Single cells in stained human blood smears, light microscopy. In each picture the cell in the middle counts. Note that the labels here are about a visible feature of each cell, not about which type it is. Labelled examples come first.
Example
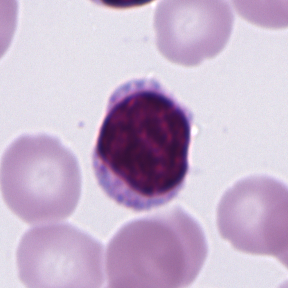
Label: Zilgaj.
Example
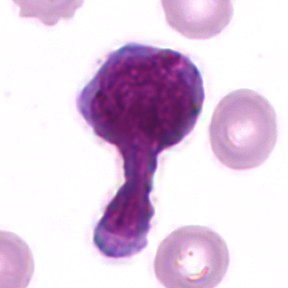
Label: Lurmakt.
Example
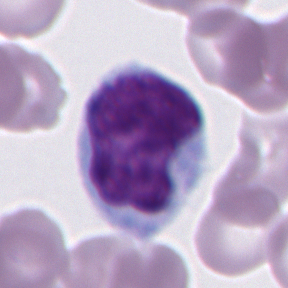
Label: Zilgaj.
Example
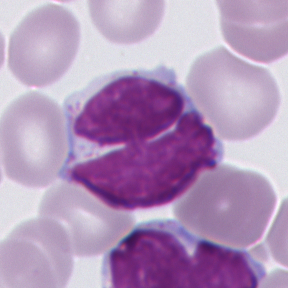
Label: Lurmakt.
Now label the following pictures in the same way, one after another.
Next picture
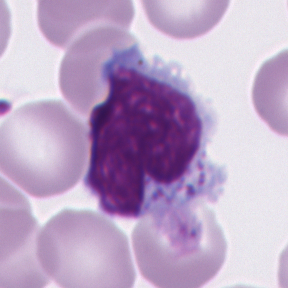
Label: Lurmakt.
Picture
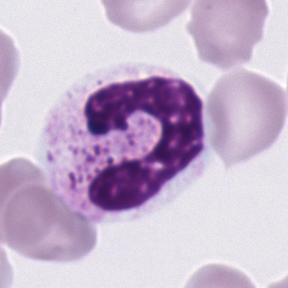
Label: Zilgaj.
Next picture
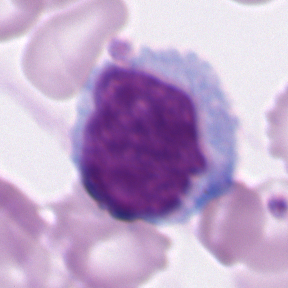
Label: Lurmakt.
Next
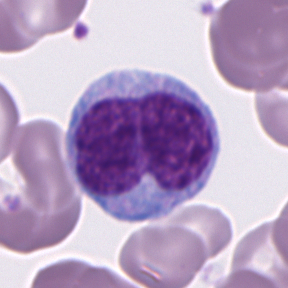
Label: Zilgaj.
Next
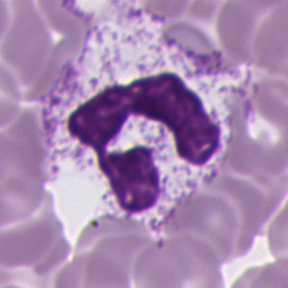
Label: Lurmakt.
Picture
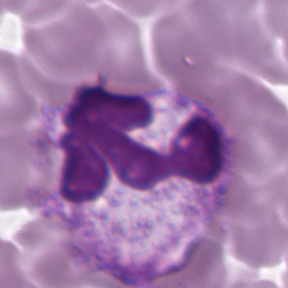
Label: Lurmakt.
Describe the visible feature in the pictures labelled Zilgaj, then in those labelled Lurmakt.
Zilgaj, smooth outline; Lurmakt, ragged outline or projections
